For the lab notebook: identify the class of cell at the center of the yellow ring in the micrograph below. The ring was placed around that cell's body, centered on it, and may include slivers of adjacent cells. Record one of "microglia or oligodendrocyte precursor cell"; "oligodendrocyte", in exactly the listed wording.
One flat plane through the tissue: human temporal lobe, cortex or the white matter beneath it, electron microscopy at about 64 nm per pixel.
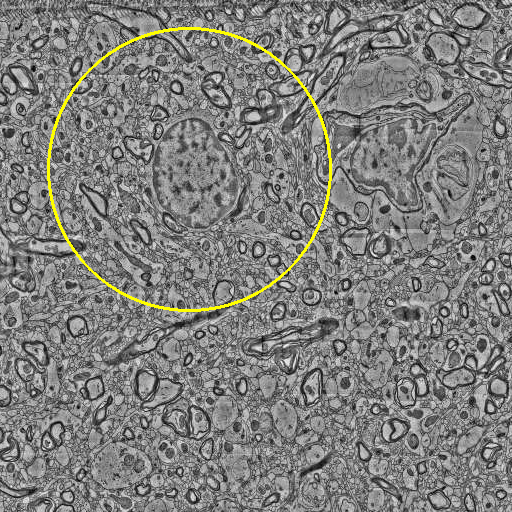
oligodendrocyte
